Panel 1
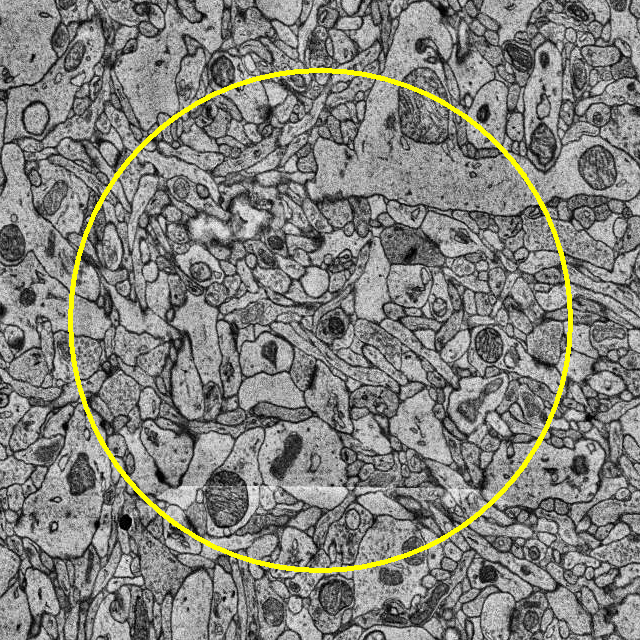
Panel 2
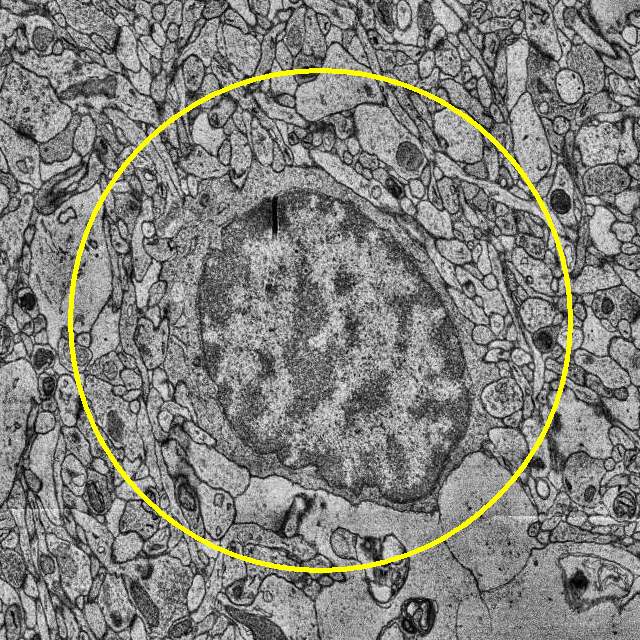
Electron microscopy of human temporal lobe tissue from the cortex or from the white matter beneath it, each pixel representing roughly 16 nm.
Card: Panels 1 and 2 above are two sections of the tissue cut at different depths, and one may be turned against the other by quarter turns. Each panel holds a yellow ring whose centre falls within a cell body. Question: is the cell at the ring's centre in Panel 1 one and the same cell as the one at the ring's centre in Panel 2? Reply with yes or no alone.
yes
